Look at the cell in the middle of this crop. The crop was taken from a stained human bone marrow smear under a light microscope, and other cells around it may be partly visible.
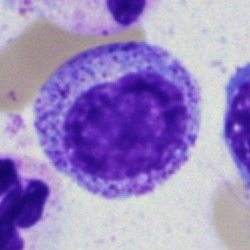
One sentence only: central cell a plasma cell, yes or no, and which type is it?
No, the middle cell is classified as a myelocyte and not as a plasma cell.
